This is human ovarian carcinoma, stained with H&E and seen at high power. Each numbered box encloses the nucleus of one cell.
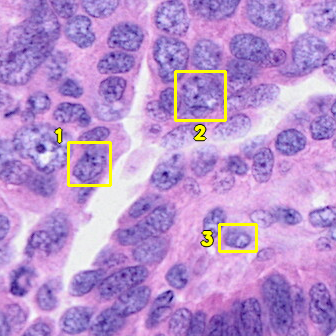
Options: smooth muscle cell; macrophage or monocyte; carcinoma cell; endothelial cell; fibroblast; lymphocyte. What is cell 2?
carcinoma cell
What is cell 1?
carcinoma cell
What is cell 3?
fibroblast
